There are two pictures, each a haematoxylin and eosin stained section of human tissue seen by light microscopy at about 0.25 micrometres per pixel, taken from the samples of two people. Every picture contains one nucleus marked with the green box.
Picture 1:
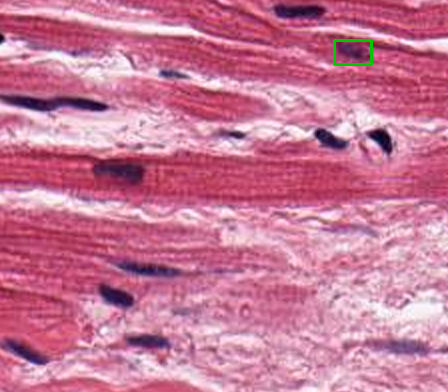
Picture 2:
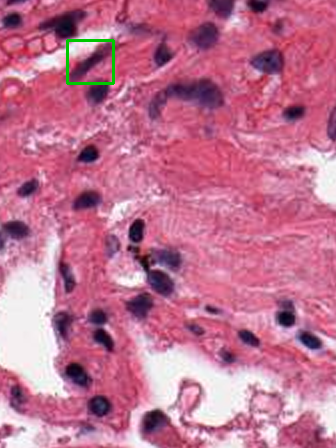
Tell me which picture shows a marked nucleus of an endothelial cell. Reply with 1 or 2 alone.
2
